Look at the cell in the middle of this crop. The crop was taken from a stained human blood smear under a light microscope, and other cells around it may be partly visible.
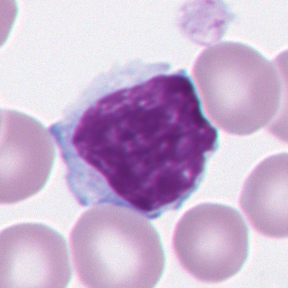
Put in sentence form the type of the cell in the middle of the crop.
Answering briefly, the cell in the middle is a typical lymphocyte.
